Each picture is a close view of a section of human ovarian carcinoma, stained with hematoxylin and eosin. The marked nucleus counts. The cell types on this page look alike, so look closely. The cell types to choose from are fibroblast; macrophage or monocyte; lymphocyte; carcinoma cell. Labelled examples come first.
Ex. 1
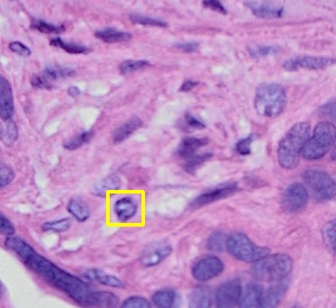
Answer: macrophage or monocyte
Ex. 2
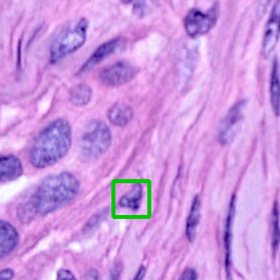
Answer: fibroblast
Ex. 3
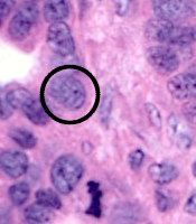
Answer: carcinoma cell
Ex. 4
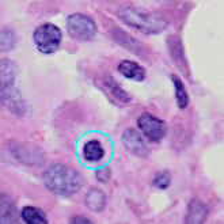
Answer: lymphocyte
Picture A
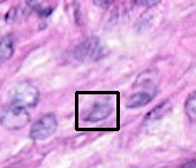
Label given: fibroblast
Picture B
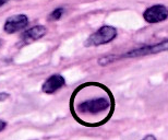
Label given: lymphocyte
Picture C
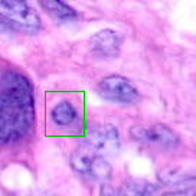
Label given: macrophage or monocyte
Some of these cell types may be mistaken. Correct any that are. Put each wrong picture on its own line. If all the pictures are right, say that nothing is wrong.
All correct.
